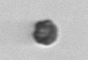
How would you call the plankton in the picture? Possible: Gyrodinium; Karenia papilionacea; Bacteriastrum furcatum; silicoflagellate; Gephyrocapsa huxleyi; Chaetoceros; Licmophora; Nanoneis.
I would call it Gephyrocapsa huxleyi.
